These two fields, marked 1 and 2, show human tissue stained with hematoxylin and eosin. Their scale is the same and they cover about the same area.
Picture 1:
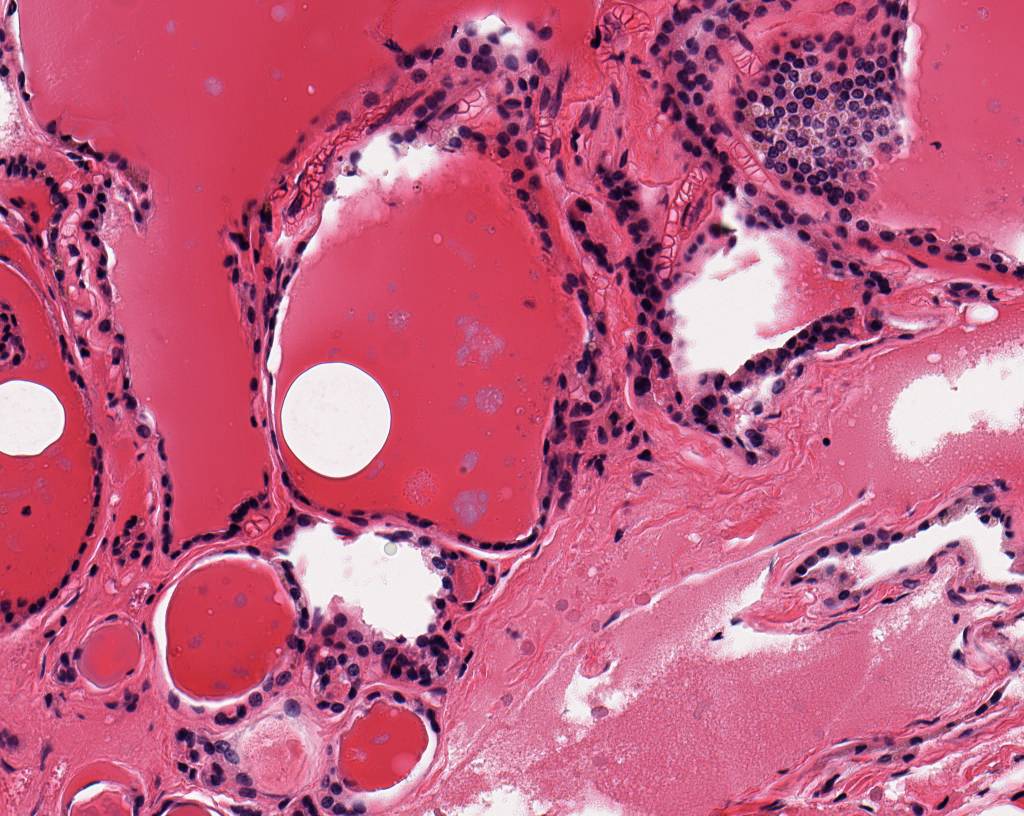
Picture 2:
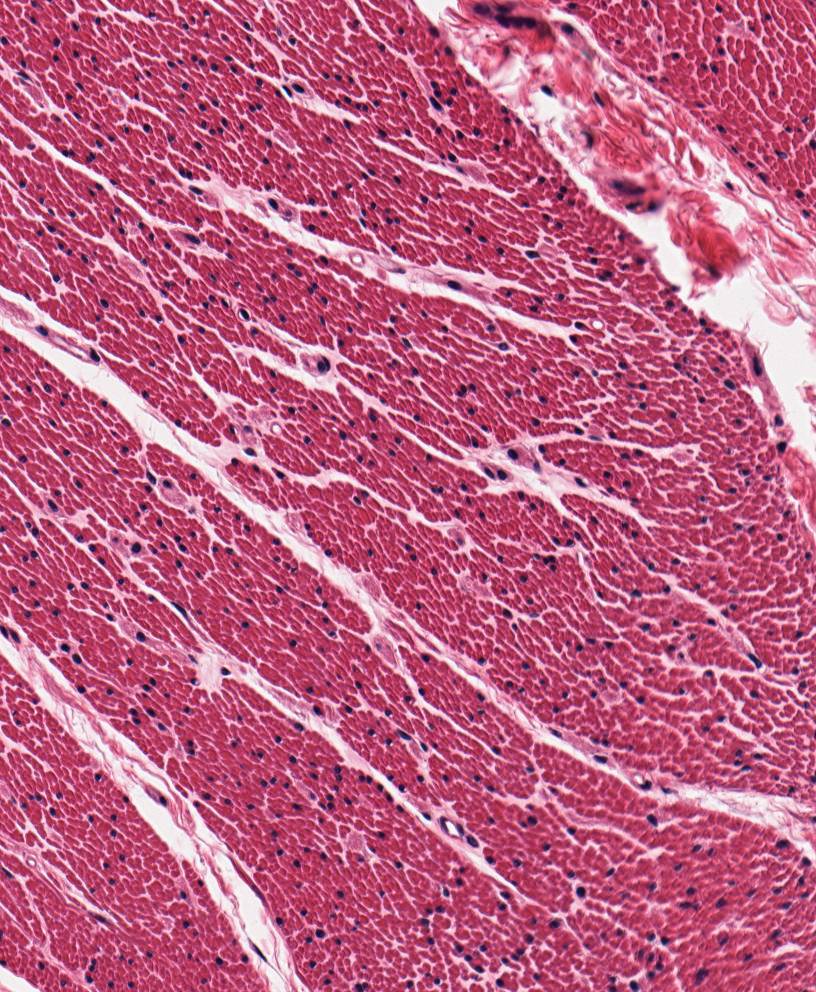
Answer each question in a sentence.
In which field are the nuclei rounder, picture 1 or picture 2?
On the whole the nuclei of picture 2 are rounder than those of picture 1.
